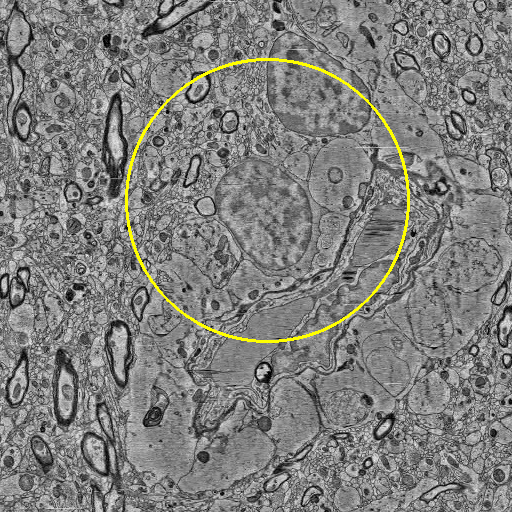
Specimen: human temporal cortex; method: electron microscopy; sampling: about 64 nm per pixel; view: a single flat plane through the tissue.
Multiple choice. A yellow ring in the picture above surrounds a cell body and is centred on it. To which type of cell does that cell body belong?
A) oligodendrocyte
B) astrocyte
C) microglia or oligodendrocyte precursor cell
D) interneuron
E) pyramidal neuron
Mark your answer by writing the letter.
A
